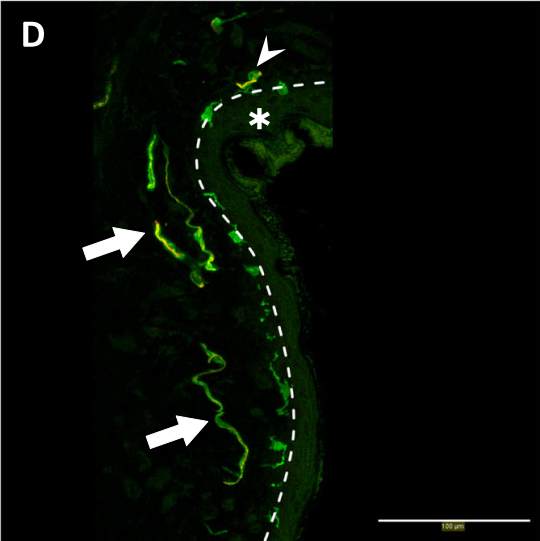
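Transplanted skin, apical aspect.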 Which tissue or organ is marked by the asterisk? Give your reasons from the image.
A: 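Epidermis. The asterisk lies in a continuous layered band bordered by the dashed line. The band forms the outer edge of the tissue.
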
